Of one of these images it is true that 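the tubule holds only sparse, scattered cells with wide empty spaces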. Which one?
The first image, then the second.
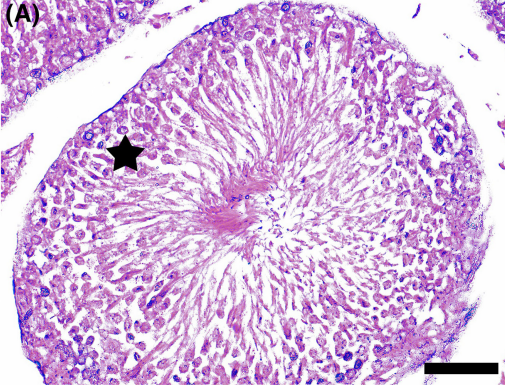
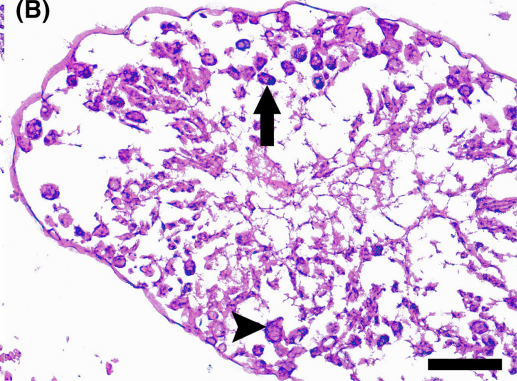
The second image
